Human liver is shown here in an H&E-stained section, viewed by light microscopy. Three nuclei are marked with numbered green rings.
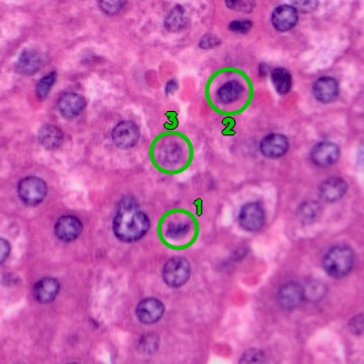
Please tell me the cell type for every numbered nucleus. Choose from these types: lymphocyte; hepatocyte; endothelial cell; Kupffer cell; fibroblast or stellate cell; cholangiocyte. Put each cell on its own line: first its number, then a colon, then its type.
1: endothelial cell
2: fibroblast or stellate cell
3: hepatocyte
